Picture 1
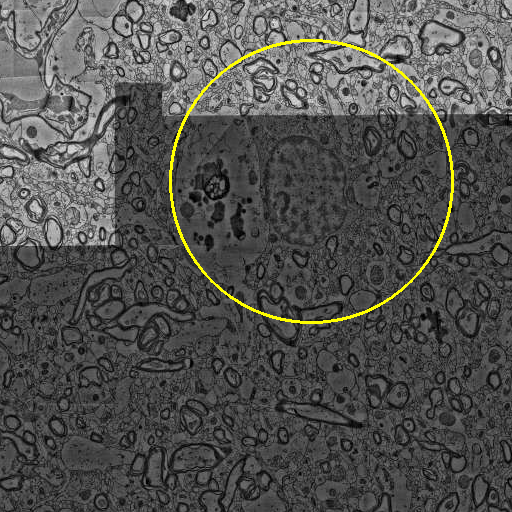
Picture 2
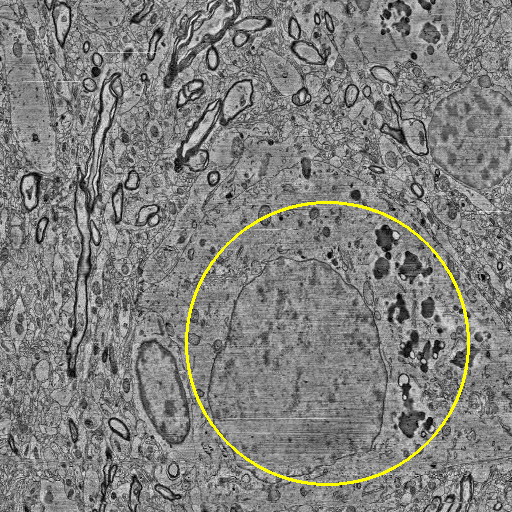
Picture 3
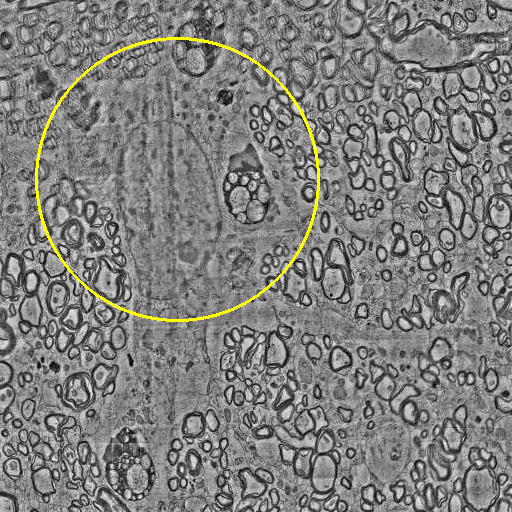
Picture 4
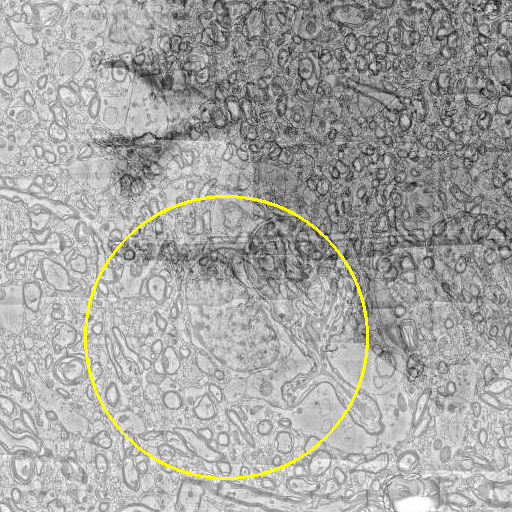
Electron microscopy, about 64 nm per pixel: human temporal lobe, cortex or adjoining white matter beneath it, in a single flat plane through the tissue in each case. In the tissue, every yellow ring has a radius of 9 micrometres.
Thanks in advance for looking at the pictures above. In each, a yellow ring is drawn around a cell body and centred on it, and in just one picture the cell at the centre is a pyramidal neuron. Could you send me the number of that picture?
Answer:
2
